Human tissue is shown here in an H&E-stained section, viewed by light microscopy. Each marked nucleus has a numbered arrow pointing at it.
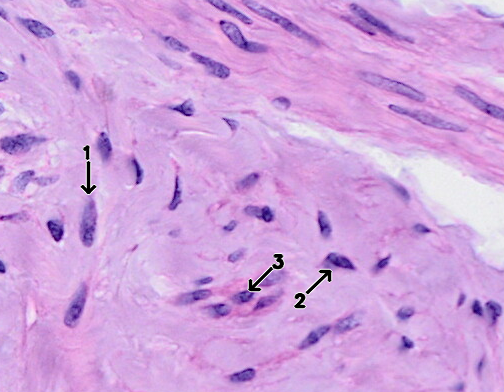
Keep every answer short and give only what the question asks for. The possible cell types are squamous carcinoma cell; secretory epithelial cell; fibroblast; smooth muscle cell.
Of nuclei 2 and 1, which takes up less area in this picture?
2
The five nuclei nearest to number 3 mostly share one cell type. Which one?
smooth muscle cell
